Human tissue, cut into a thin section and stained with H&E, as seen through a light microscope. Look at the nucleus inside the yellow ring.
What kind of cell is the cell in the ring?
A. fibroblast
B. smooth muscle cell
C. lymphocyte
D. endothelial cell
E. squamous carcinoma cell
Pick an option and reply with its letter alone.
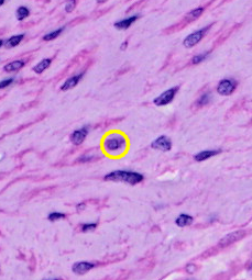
B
